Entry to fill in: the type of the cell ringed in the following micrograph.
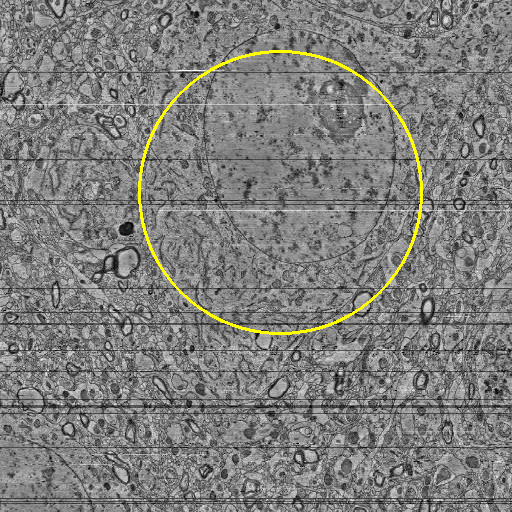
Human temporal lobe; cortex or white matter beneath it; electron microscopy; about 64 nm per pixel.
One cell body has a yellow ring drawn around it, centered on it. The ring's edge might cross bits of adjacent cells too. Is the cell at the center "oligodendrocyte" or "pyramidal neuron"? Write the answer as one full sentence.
This entry names a pyramidal neuron as the cell whose body lies at the ring's center.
